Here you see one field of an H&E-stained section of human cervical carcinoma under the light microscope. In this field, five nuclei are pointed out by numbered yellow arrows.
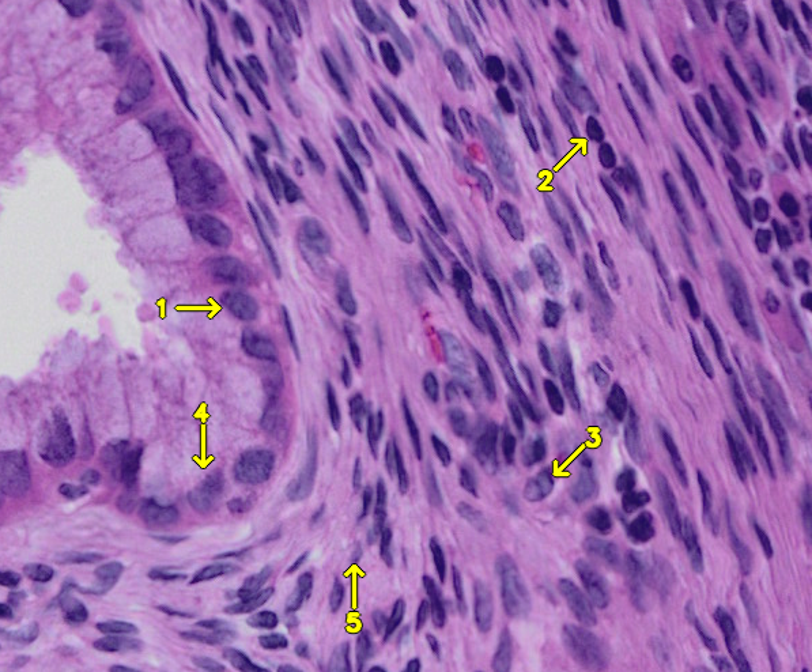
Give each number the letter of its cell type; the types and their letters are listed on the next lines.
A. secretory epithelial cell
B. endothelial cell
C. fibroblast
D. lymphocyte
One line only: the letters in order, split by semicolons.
A; D; B; A; C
